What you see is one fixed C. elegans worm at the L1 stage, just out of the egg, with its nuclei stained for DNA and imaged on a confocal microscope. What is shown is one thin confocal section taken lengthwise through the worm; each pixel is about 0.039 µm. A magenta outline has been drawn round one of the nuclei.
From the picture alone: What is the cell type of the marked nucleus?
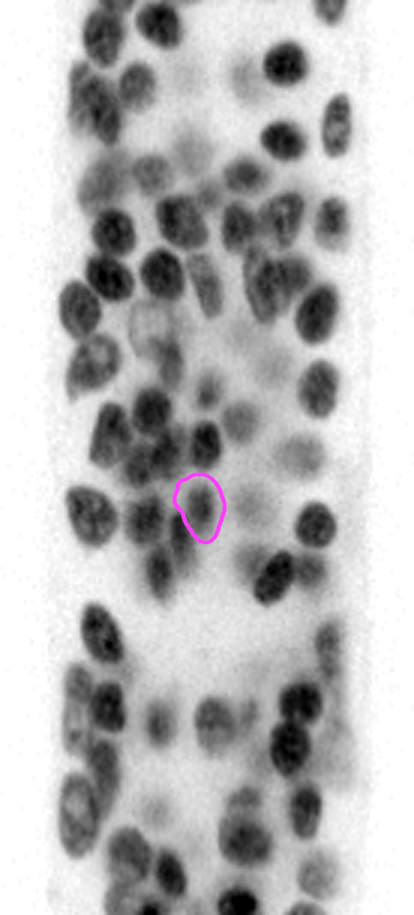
neuron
